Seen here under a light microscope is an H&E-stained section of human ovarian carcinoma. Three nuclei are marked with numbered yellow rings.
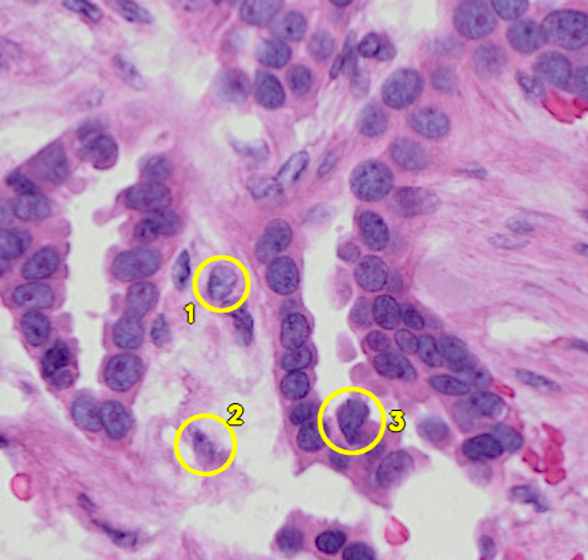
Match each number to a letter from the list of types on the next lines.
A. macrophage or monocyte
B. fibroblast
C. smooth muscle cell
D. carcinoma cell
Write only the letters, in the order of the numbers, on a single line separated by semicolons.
B; B; D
